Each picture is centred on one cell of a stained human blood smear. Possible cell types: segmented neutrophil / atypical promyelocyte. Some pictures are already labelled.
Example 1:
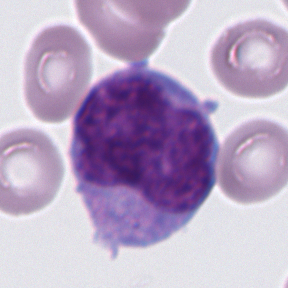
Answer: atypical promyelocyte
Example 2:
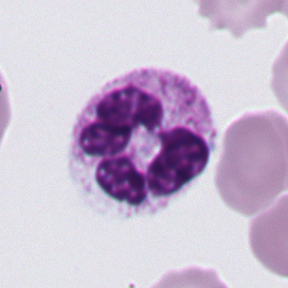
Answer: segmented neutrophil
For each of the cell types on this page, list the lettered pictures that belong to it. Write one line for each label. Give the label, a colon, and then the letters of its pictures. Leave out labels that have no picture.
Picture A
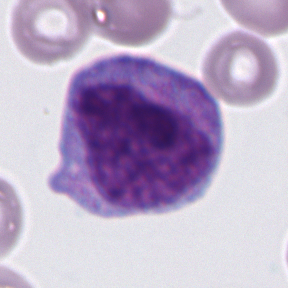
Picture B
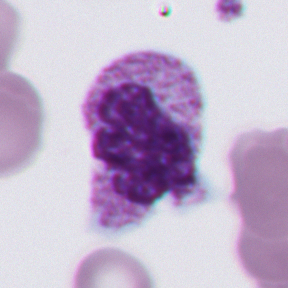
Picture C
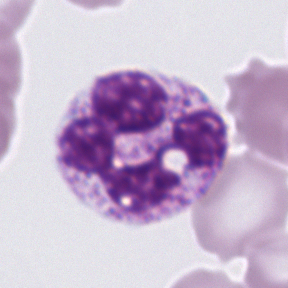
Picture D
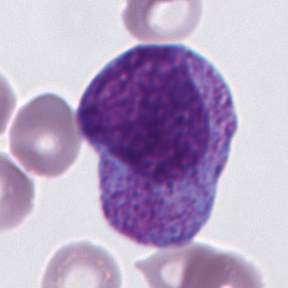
segmented neutrophil: B, C
atypical promyelocyte: A, D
